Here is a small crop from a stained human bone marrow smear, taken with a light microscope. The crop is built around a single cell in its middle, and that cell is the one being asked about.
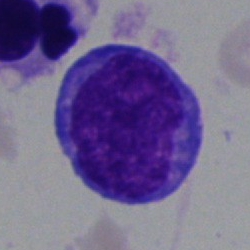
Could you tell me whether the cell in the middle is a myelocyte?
no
